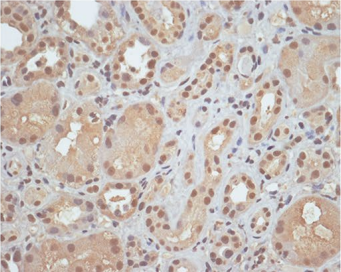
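Kidney tubulointerstitium packed with cross-sectioned tubules of varying size. The tubules are lined by cuboidal epithelial cells with granular light-brown cytoplasm, and many of their round nuclei are stained brown. Lumens are round, some open and some holding pale fluffy material. Between the tubules lies interstitial tissue with scattered small blue and brown nuclei. No glomerulus is in the field.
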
